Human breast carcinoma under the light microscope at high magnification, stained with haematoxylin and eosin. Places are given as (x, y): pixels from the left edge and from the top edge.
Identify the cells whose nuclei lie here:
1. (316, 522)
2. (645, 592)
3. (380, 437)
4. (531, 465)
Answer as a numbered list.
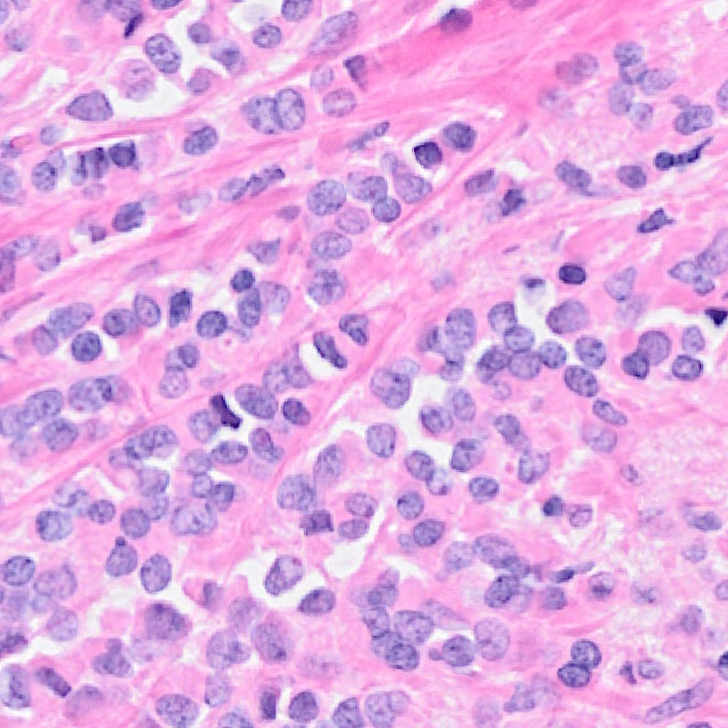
1. carcinoma cell
2. fibroblast
3. carcinoma cell
4. carcinoma cell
